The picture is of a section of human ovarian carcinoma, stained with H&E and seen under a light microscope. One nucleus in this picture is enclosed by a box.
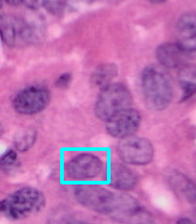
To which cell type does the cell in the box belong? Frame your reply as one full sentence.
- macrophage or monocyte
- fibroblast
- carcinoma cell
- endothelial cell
In this preparation, the cell in the box is a carcinoma cell.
